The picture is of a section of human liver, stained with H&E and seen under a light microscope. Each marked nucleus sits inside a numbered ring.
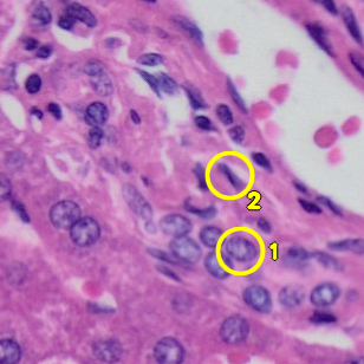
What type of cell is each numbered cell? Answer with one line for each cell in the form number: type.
1: cholangiocyte
2: fibroblast or stellate cell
